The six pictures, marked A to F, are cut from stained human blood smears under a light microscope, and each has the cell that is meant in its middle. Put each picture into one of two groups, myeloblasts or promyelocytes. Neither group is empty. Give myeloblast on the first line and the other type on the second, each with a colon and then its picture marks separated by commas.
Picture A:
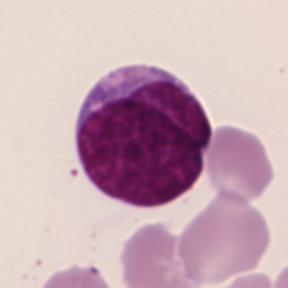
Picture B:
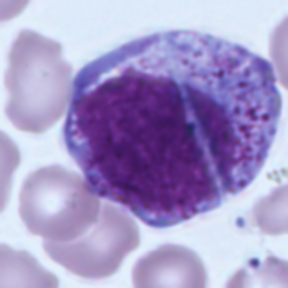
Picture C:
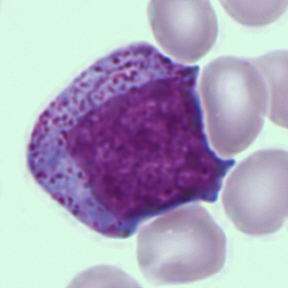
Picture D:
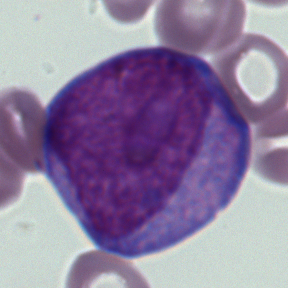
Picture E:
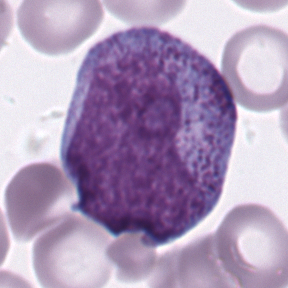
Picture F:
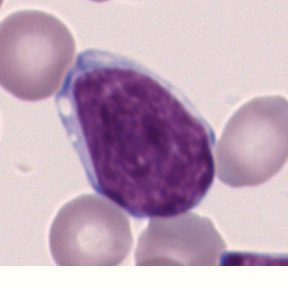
myeloblast: A, F
promyelocyte: B, C, D, E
